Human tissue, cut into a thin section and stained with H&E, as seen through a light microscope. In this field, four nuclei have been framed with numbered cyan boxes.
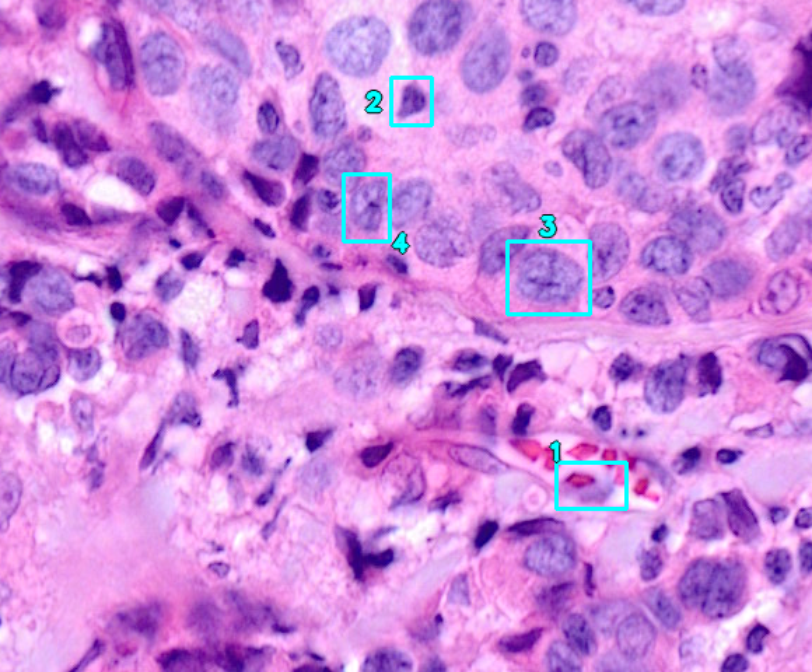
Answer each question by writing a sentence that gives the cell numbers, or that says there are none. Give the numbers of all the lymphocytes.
Only nucleus 2 belongs to a lymphocyte; the other numbered nuclei do not.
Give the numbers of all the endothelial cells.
Cell 1 represents an endothelial cell, and no other numbered cell does.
